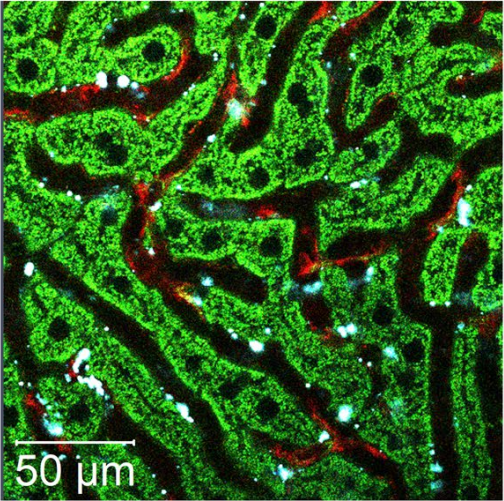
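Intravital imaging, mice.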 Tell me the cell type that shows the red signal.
Kupffer cells.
